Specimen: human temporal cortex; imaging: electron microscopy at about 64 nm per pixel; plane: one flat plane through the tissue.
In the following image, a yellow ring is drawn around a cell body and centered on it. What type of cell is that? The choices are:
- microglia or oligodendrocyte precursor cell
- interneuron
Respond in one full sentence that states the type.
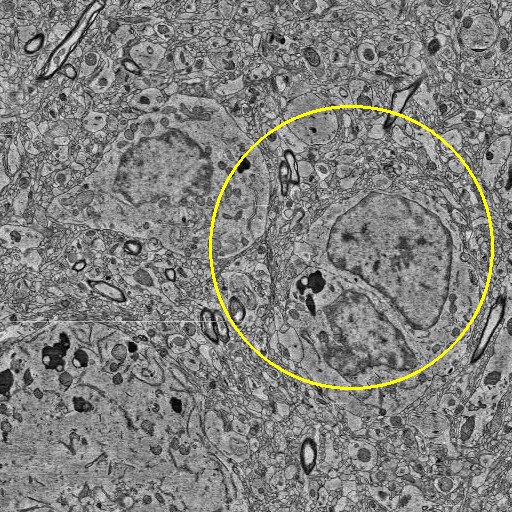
The cell at the center of the yellow ring in the image is a microglial cell or oligodendrocyte precursor cell.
